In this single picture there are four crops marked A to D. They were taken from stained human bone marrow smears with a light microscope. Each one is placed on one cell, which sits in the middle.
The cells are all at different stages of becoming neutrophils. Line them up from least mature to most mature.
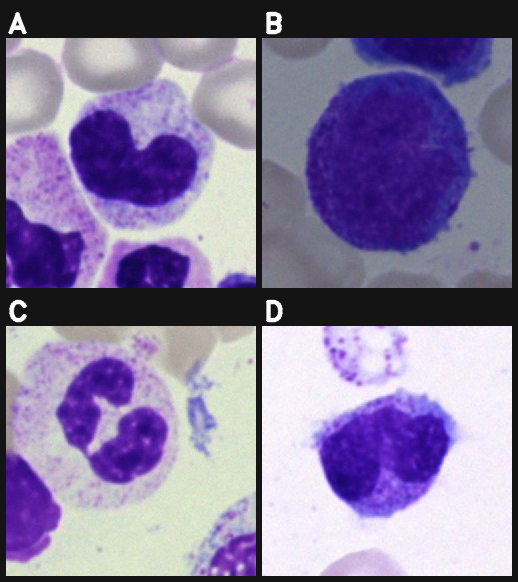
B, D, A, C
